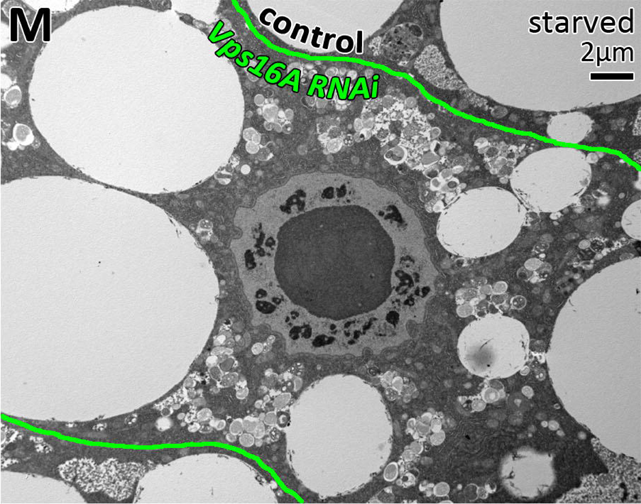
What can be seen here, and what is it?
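Transmission electron micrograph of fat cells with large pale lipid droplets filling much of the cytoplasm. In the cell below the green line a central nucleus with clumped dark chromatin is surrounded by many clusters of small membrane-bound vesicles packed between the droplets near the nucleus.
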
